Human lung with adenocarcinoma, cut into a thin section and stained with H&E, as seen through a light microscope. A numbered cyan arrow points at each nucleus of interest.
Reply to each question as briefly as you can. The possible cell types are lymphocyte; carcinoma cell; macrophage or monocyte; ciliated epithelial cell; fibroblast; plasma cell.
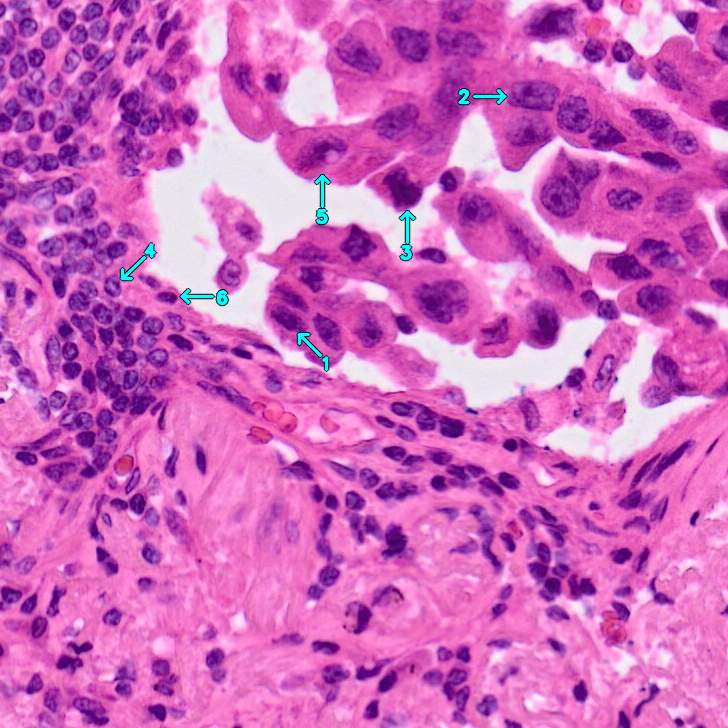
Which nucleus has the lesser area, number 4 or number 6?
6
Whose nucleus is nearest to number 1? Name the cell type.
carcinoma cell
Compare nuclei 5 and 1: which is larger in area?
5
